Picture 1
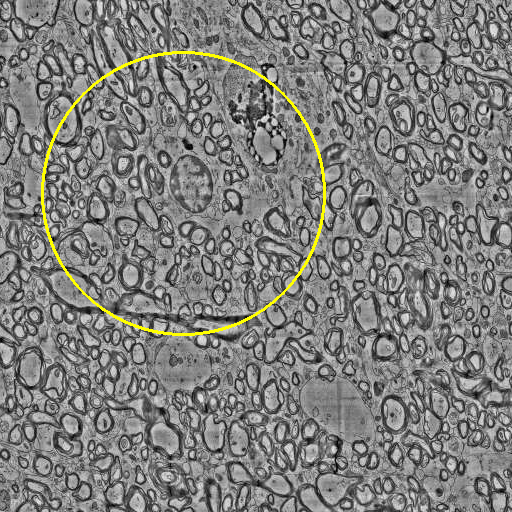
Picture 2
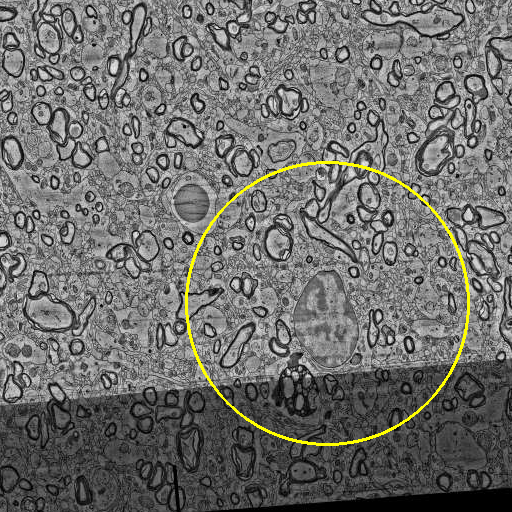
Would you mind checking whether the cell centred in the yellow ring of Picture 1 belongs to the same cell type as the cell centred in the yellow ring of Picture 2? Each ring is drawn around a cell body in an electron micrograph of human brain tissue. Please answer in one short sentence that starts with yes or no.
Yes, both cells are of the same type.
